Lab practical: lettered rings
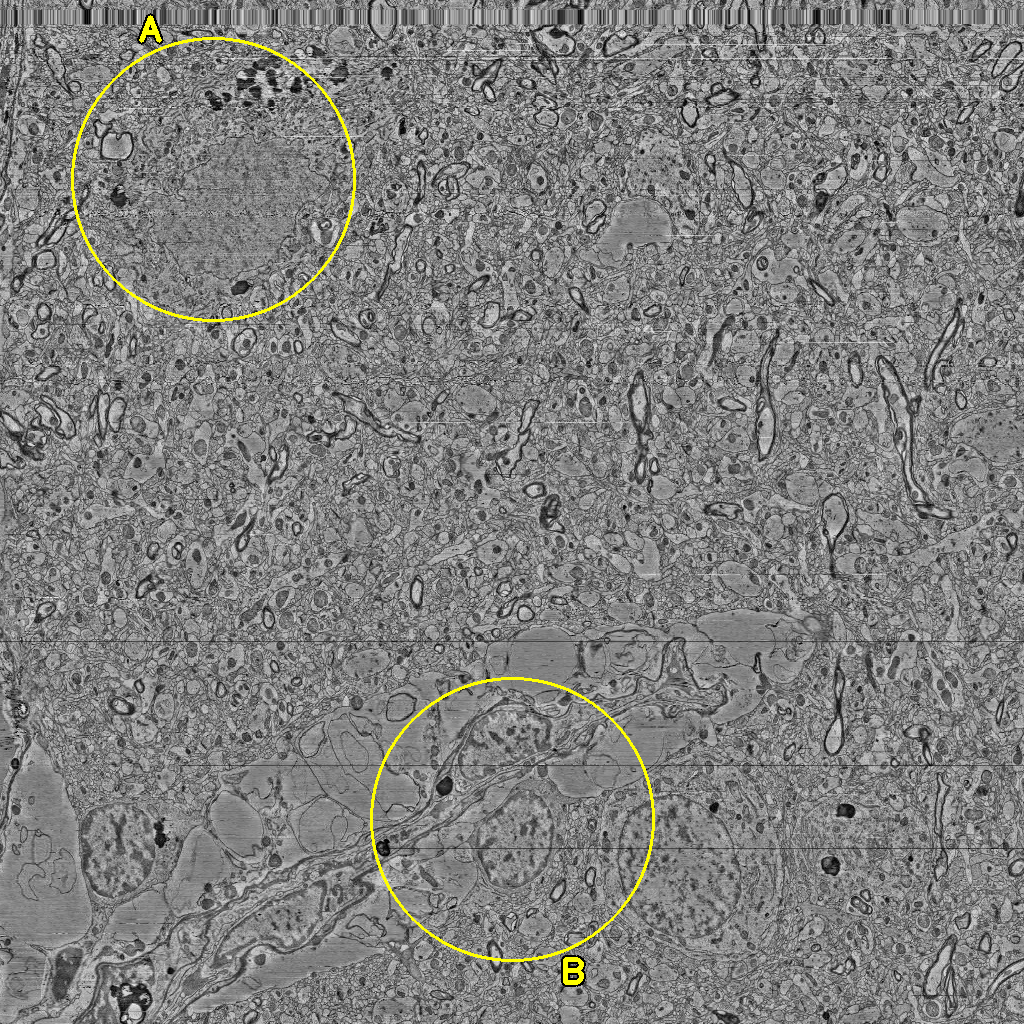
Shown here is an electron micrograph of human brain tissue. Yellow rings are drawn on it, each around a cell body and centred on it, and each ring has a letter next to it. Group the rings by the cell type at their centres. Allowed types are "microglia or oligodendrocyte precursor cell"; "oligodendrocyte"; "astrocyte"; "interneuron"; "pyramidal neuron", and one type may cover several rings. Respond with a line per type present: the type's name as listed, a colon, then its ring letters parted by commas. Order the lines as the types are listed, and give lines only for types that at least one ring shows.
oligodendrocyte: B
pyramidal neuron: A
